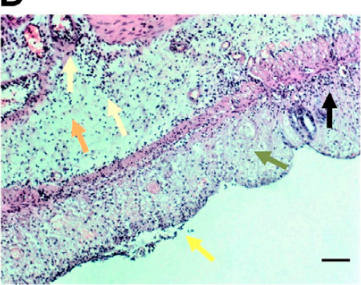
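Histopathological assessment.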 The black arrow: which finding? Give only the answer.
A: Inflammatory infiltrates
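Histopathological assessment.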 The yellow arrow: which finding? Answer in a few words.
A: erosions and de-epithelialization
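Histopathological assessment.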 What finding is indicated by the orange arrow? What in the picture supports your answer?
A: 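The layer under the mucosa is widened and pale with widely separated cells and fibres. The answer: submucosal edema.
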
